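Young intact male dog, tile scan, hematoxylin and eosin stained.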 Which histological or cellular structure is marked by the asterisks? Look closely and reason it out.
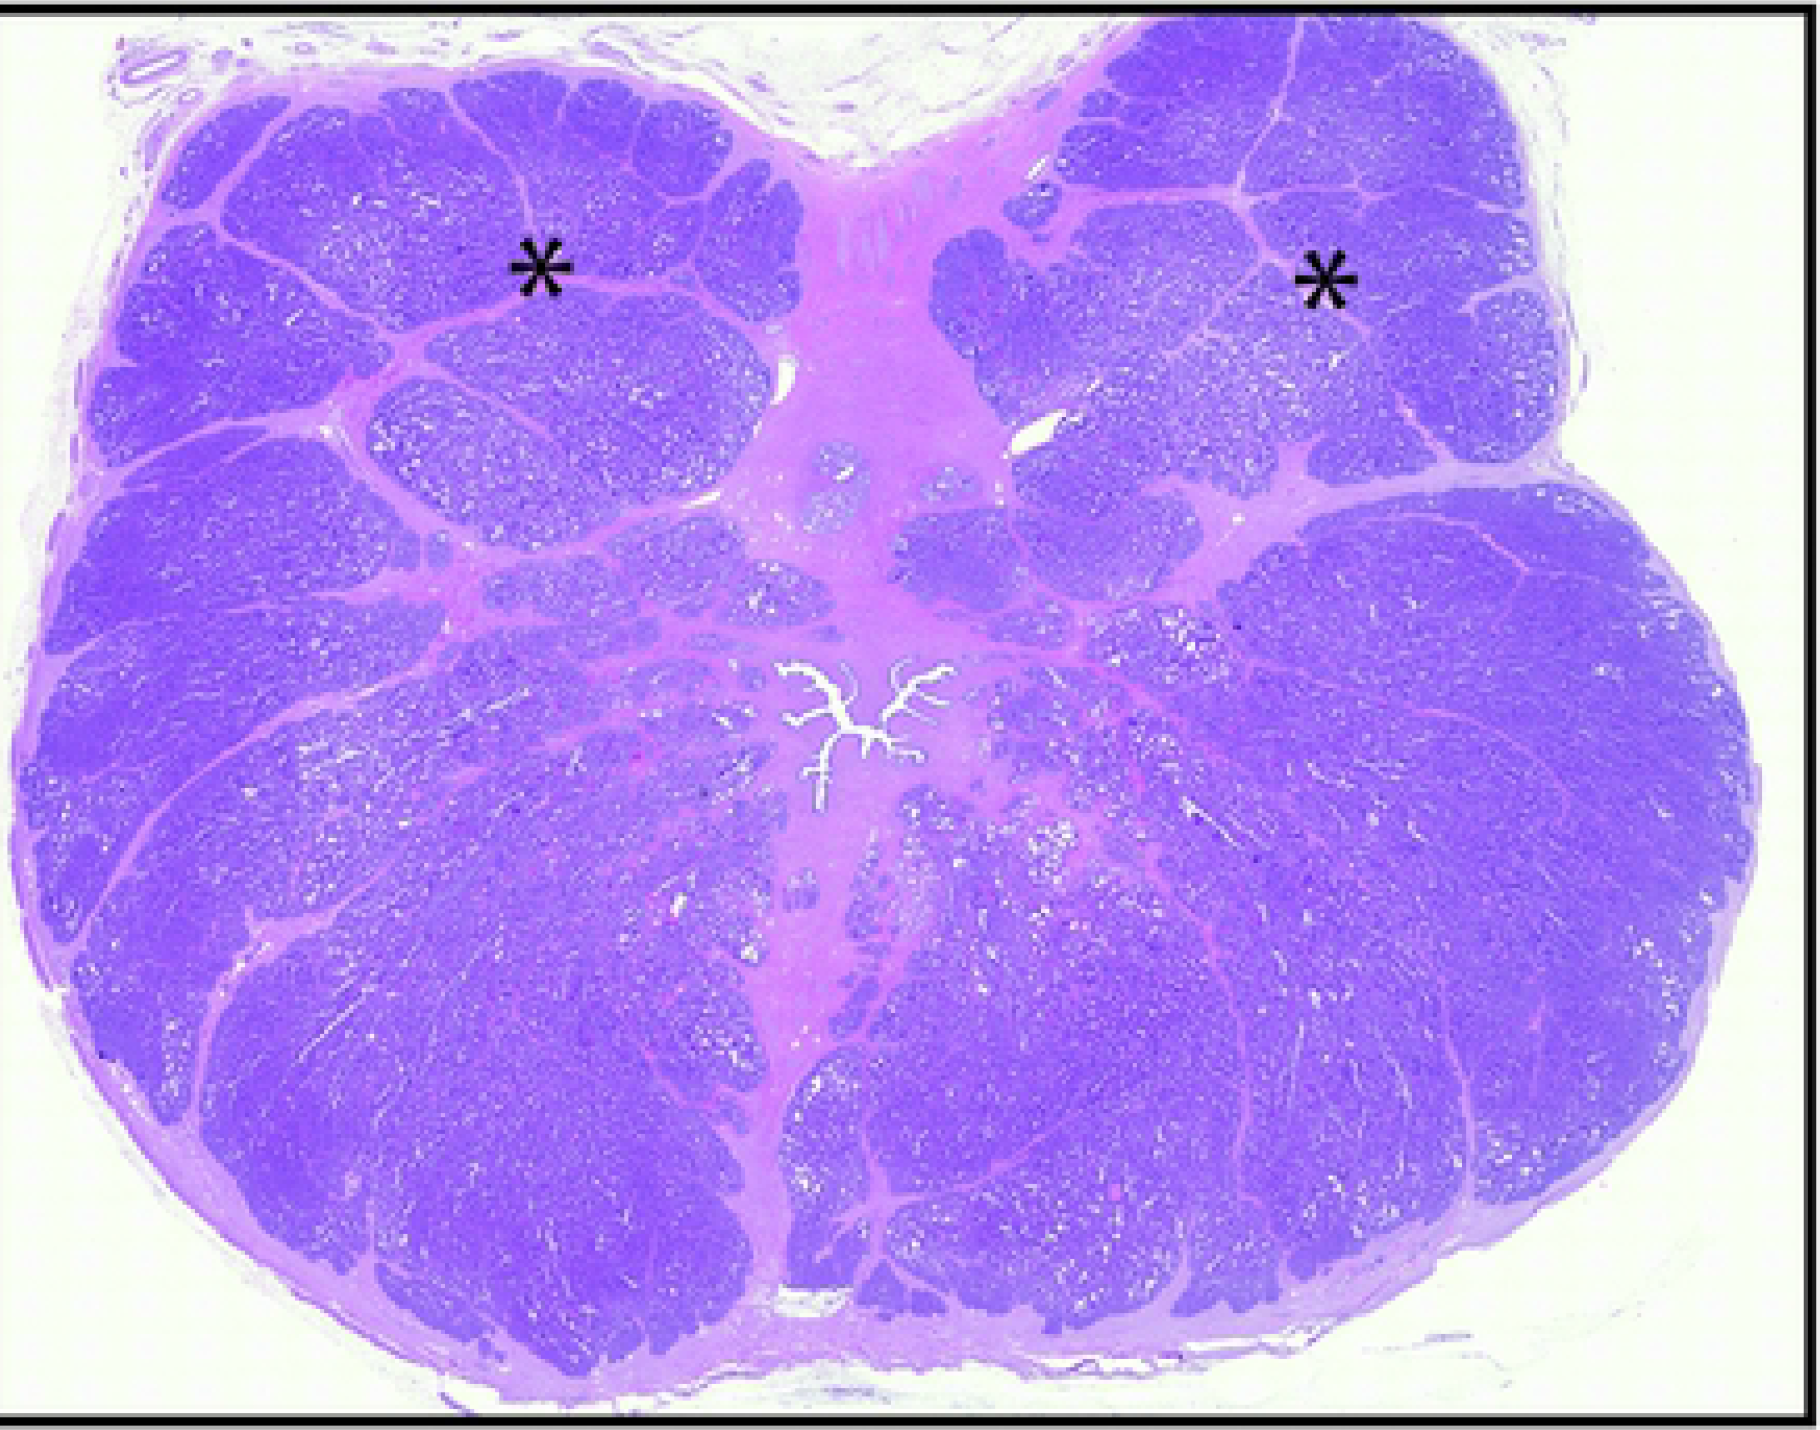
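Thin pink strands run between purple glandular lobules near the asterisks. The asterisks lie in the upper part of the section on either side of the midline.
Hence: thin band of stroma.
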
